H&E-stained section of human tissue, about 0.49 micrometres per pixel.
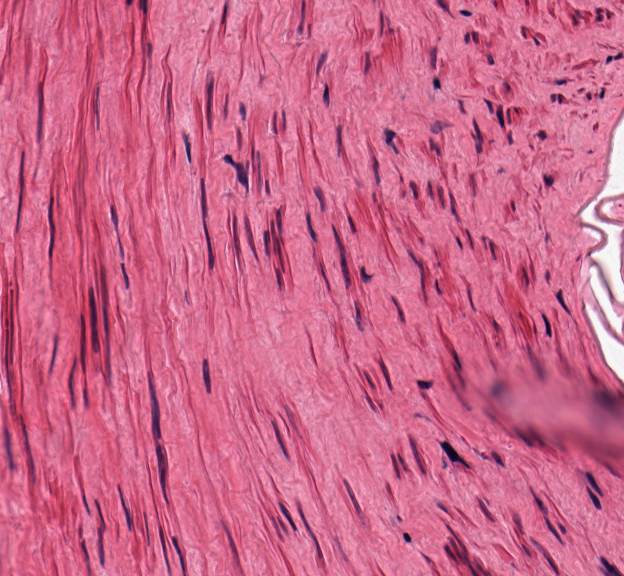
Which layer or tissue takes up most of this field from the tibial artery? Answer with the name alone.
tunica media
